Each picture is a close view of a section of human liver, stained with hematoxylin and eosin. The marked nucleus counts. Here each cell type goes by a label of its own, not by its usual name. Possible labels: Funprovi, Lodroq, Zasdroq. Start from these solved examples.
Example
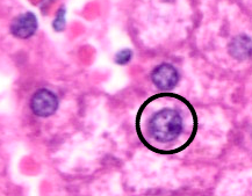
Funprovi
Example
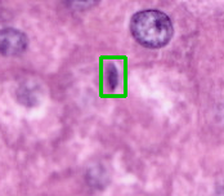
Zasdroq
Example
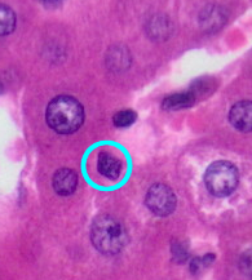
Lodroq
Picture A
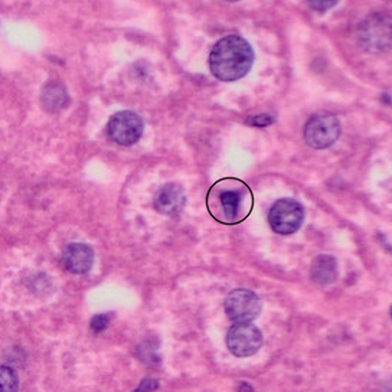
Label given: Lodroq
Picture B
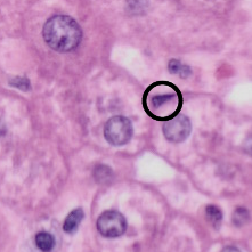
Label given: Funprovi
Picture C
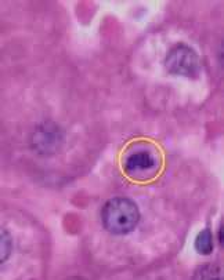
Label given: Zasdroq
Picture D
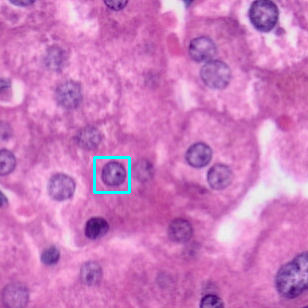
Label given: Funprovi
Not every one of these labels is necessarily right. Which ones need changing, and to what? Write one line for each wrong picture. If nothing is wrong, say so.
B: not Funprovi but Lodroq
C: not Zasdroq but Lodroq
